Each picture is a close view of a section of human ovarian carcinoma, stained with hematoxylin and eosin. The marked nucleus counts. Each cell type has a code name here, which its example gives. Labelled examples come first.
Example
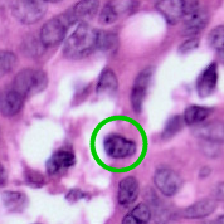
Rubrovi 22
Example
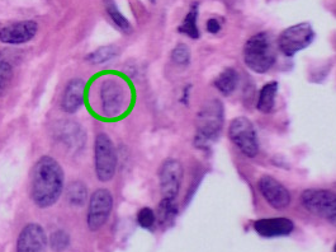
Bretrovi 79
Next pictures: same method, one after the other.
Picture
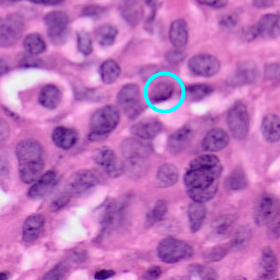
Bretrovi 79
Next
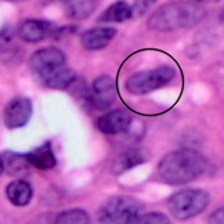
Rubrovi 22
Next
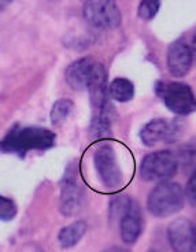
Bretrovi 79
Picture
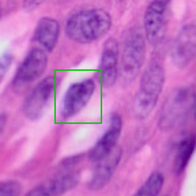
Bretrovi 79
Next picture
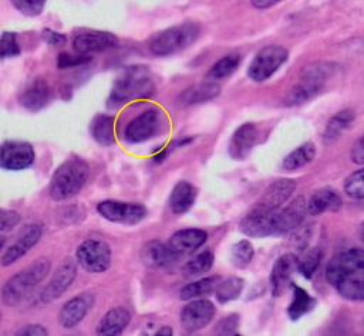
Bretrovi 79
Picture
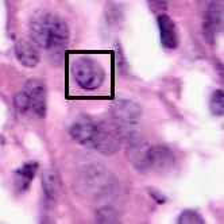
Rubrovi 22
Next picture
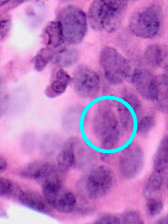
Bretrovi 79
